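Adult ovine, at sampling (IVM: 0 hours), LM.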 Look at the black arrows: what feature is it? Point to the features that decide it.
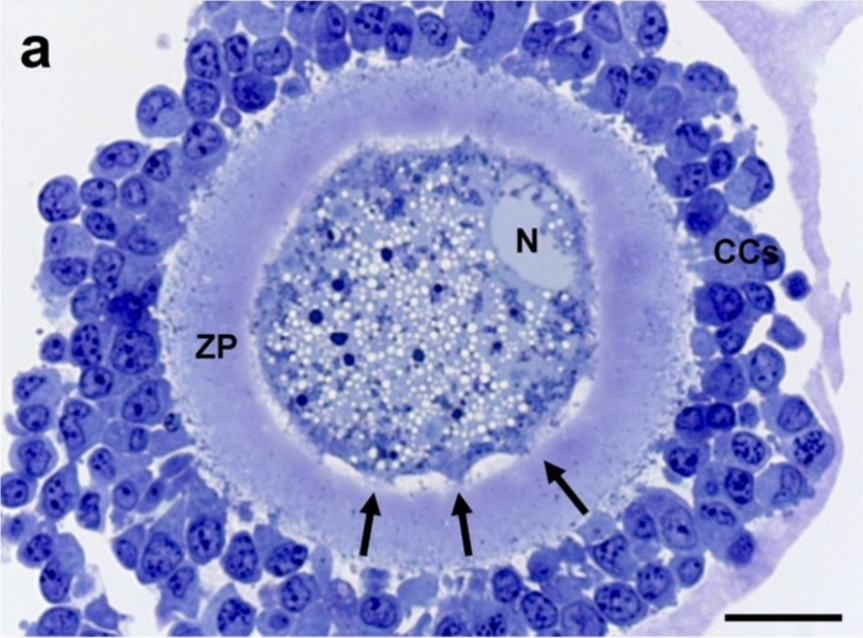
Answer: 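“spikes” of the oolemma. The arrows point to the lower edge of the large central cell where it meets the pale ring. At these points the cell border forms small pointed projections with clear gaps between them.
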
